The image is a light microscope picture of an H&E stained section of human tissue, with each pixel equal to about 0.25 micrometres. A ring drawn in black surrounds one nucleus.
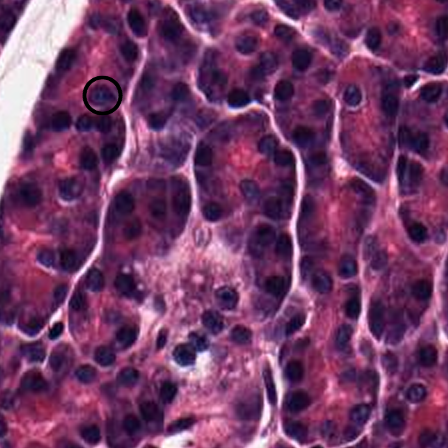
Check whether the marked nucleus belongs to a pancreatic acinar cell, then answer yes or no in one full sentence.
Yes, the marked nucleus is recognised as belonging to a pancreatic acinar cell.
